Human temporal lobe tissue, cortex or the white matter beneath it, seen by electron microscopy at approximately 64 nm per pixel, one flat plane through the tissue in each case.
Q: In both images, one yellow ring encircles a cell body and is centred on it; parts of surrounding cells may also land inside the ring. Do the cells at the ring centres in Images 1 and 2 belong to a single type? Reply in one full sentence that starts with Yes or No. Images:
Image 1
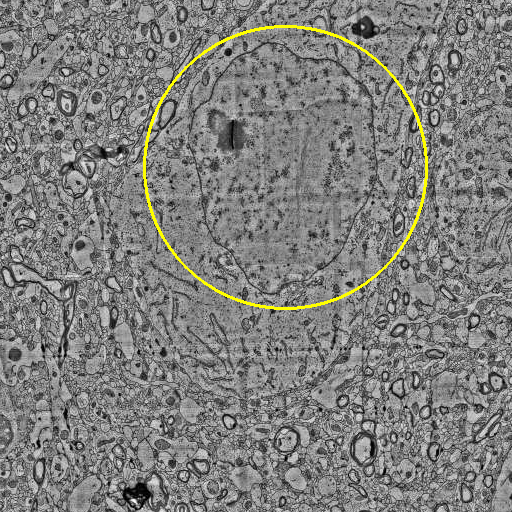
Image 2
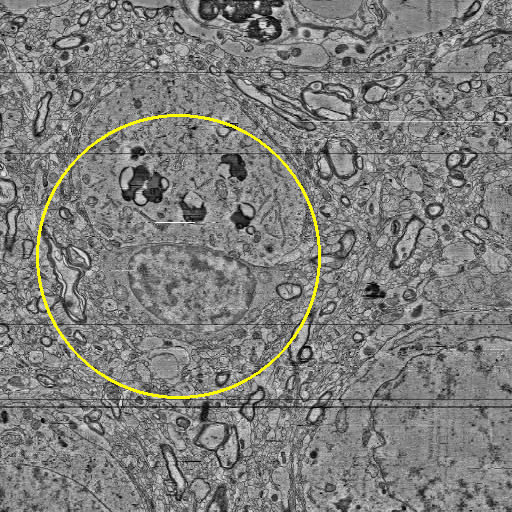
No, the cells at the ring centres in Images 1 and 2 are of two types.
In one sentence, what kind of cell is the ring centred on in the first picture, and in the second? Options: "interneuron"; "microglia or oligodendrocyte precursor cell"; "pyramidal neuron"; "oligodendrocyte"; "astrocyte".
The cell at the centre of the second ring is an oligodendrocyte; the first ring's cell is a pyramidal neuron.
